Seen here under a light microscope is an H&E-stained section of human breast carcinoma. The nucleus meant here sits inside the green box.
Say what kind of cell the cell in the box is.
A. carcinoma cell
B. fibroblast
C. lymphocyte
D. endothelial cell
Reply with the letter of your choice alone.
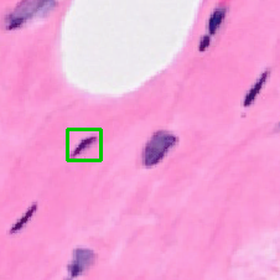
B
